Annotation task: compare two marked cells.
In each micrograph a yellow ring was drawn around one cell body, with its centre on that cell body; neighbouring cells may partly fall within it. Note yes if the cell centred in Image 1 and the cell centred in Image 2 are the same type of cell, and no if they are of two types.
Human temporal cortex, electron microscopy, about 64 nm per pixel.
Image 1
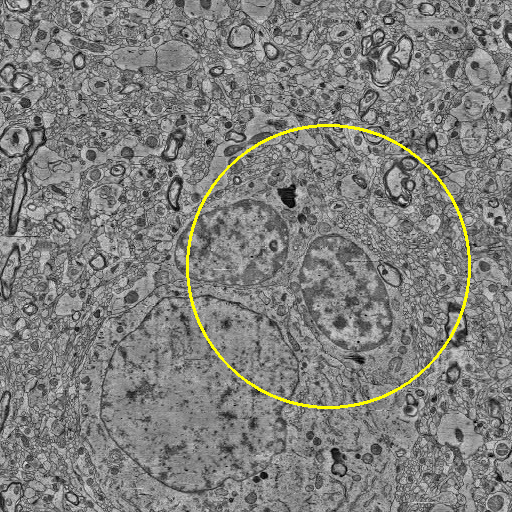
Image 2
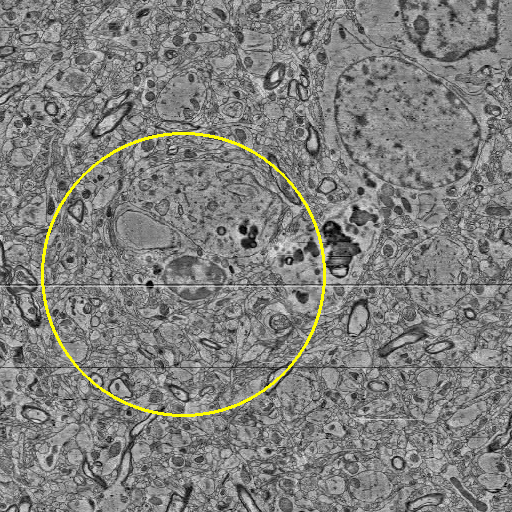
no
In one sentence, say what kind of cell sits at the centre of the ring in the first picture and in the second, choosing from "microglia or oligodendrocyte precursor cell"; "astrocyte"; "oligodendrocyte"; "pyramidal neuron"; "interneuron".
The first picture's ringed cell is an oligodendrocyte, while the second picture's is a microglial cell or oligodendrocyte precursor cell.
